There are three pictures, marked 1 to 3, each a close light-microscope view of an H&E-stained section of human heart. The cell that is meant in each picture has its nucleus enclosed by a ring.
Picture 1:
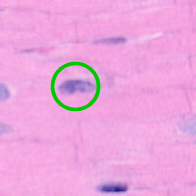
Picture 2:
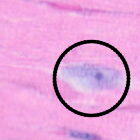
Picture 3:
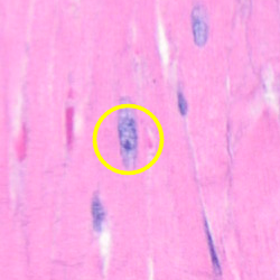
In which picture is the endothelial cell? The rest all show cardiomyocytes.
1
